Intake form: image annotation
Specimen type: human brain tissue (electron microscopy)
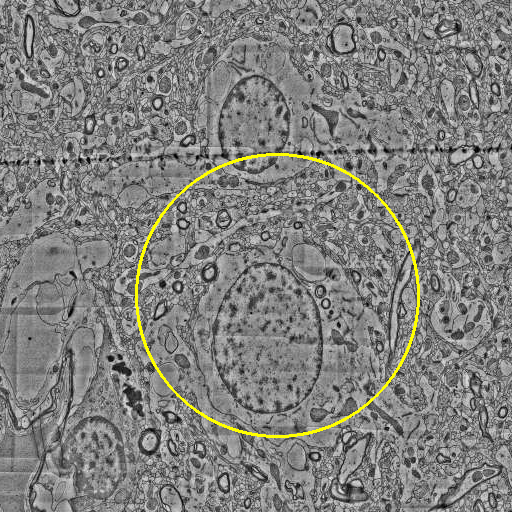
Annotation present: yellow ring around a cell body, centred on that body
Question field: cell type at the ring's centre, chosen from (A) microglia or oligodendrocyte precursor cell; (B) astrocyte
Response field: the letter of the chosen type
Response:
B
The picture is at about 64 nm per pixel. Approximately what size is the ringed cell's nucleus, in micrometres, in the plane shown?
The nucleus measures about 10 by 7 micrometres in this plane.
